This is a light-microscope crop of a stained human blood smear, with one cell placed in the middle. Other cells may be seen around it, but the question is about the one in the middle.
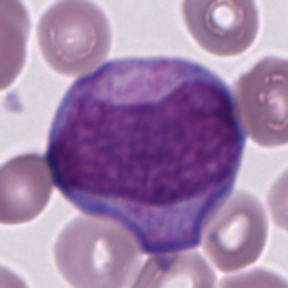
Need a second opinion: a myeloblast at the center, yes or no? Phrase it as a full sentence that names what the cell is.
No, the cell at the centre is identified as an atypical promyelocyte, not as a myeloblast.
